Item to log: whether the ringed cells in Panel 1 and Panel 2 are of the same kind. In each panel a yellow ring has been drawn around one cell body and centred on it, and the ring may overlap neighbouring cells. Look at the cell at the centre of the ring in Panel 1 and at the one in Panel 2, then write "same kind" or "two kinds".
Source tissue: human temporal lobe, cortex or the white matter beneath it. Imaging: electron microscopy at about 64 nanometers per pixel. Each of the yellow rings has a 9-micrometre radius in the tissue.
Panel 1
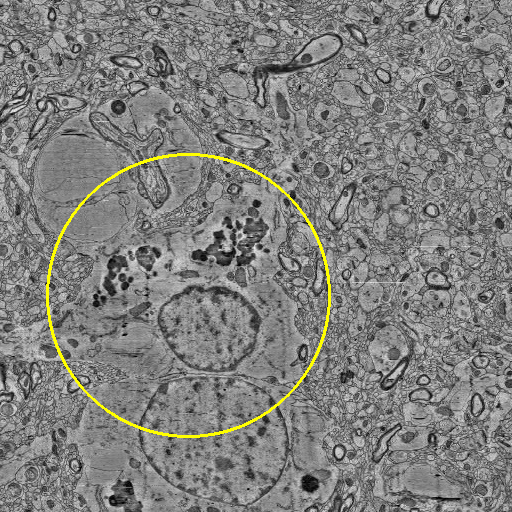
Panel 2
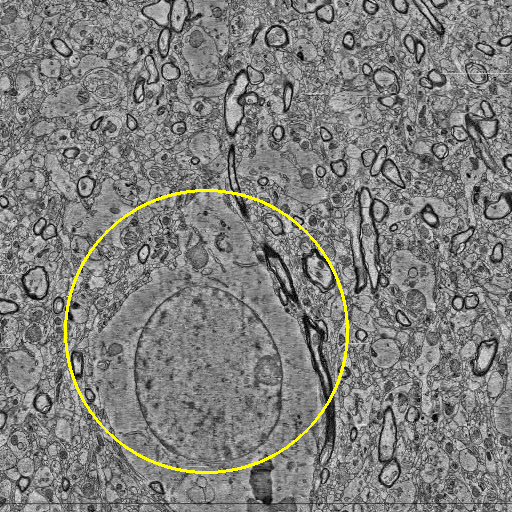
same kind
